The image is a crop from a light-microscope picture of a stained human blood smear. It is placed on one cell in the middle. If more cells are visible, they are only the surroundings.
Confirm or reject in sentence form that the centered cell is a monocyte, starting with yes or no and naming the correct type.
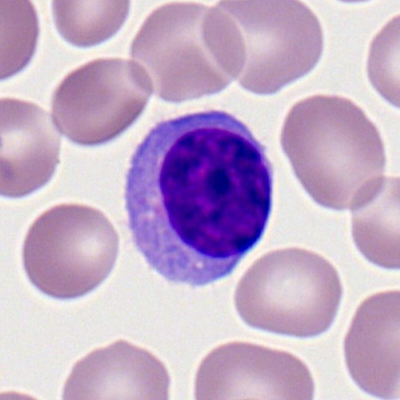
No, it is not a monocyte that sits at the centre but a lymphocyte.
